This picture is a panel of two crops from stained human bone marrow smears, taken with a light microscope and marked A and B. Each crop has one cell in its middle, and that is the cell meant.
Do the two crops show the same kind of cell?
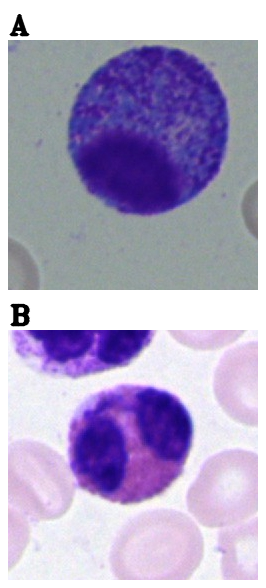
no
